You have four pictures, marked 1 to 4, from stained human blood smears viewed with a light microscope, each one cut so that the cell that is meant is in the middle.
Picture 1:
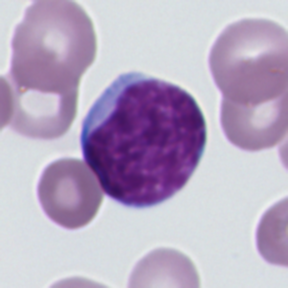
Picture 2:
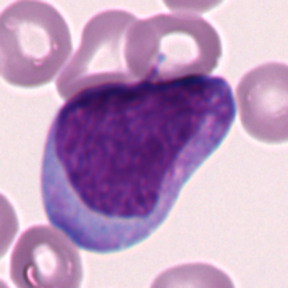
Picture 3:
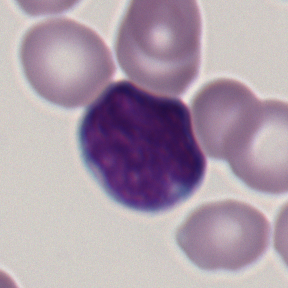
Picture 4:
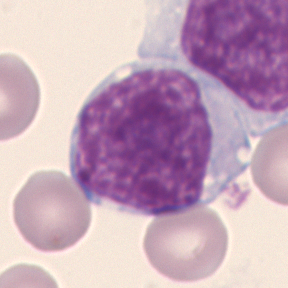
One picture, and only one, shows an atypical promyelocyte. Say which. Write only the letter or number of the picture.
2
